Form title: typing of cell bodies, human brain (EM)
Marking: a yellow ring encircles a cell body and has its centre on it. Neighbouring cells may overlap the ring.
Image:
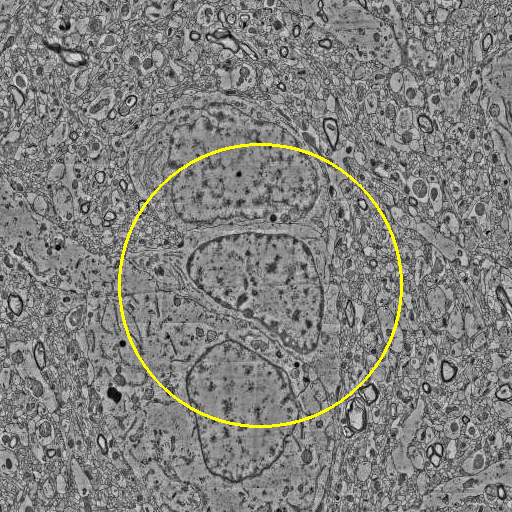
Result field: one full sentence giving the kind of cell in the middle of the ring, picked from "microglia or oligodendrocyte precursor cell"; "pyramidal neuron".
In the picture, the ring is centred on a microglial cell or oligodendrocyte precursor cell, whose cell body it encircles.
